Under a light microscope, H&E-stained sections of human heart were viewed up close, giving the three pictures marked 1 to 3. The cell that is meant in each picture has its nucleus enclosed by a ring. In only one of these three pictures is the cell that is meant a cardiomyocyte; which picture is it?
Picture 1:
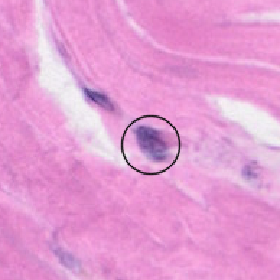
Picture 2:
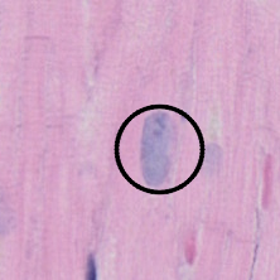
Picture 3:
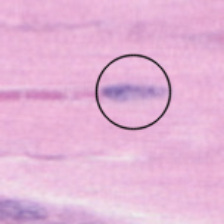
2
